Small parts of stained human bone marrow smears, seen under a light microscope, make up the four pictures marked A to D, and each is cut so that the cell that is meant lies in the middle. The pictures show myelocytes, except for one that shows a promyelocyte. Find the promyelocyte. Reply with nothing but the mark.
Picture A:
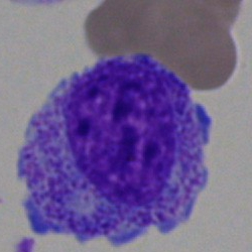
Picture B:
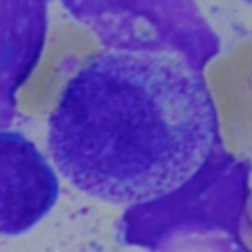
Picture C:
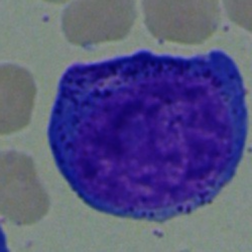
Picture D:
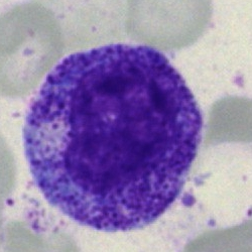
C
